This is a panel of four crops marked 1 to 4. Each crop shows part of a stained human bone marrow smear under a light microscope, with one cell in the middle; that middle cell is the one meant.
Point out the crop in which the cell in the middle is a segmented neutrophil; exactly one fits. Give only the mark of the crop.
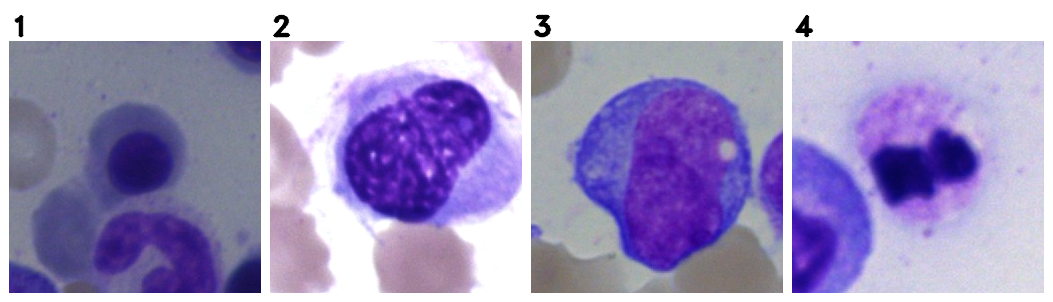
4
